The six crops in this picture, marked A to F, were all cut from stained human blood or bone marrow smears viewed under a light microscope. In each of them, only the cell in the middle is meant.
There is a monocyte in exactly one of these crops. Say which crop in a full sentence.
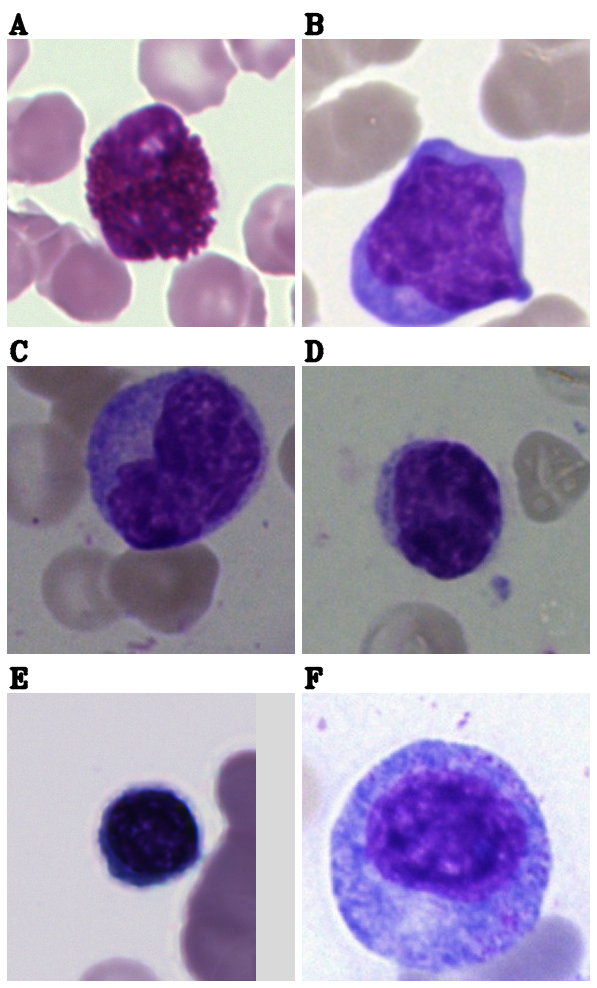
Of these crops, it is crop C that shows a monocyte.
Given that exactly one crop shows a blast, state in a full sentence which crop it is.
Crop B is the one that shows a blast.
